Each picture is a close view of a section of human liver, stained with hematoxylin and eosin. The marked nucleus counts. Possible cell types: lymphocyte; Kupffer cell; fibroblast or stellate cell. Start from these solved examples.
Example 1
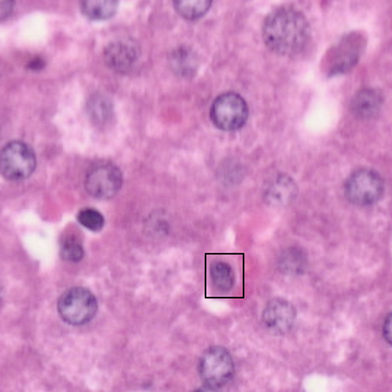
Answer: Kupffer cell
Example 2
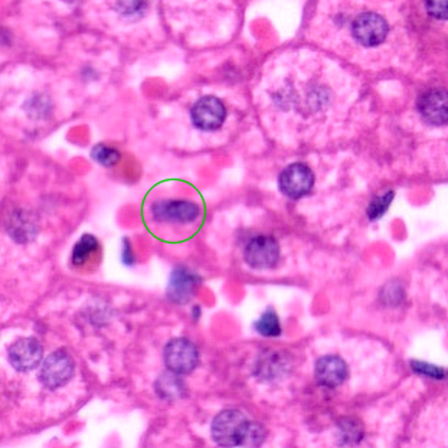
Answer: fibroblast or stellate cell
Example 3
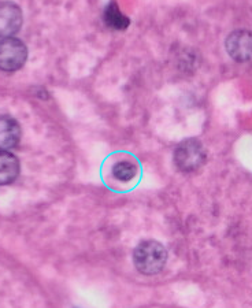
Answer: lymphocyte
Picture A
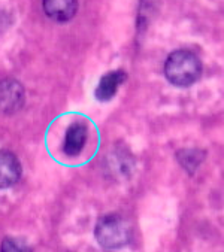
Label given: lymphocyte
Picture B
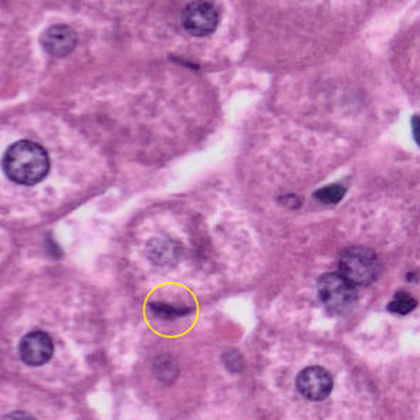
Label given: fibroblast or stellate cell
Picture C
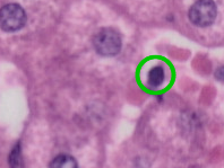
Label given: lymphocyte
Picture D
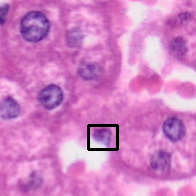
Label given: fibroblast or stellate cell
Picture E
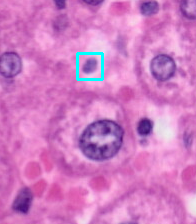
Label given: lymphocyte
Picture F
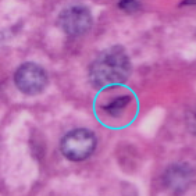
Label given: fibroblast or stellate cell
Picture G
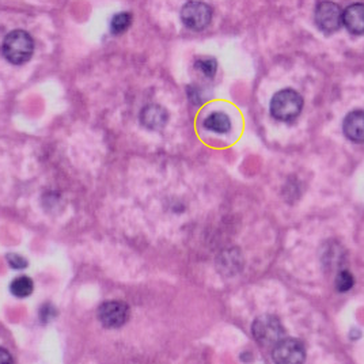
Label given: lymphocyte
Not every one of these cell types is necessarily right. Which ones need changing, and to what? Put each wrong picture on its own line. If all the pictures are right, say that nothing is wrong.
Every label is right.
